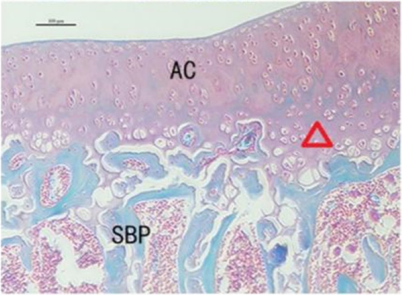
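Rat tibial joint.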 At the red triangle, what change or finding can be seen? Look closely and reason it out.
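Near the triangle, deep in the cartilage, chondrocytes lie in enlarged clear lacunae.
Conclusion: hypertrophy and vacuolated chondrocytes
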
